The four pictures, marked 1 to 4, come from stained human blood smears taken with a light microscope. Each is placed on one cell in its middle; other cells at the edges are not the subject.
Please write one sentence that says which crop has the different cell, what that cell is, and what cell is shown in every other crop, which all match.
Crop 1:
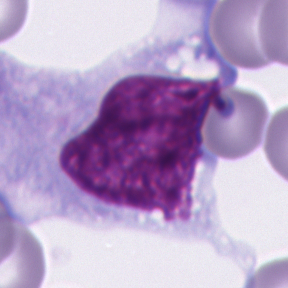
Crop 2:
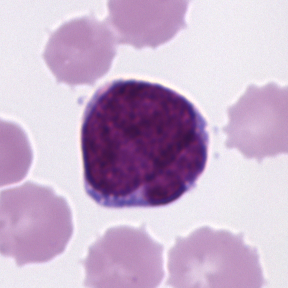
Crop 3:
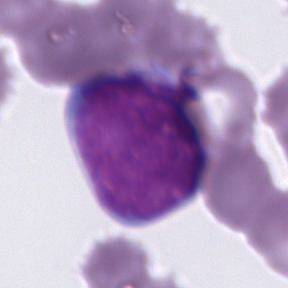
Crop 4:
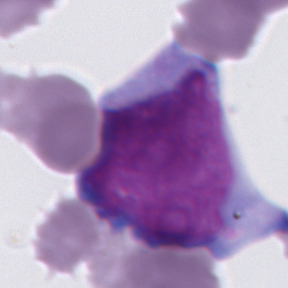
Crop 1 is the different one, a monocyte, while the rest are blasts.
